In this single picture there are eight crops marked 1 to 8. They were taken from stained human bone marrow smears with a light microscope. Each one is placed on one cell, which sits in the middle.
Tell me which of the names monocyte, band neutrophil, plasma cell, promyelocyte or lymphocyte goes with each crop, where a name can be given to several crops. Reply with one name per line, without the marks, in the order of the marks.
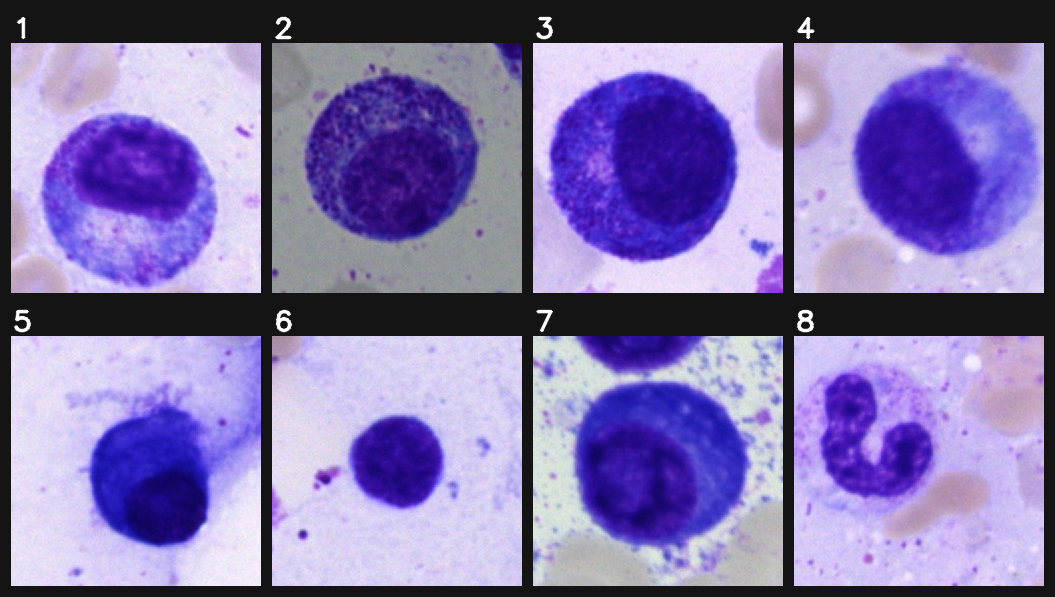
promyelocyte
promyelocyte
promyelocyte
promyelocyte
plasma cell
lymphocyte
plasma cell
band neutrophil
